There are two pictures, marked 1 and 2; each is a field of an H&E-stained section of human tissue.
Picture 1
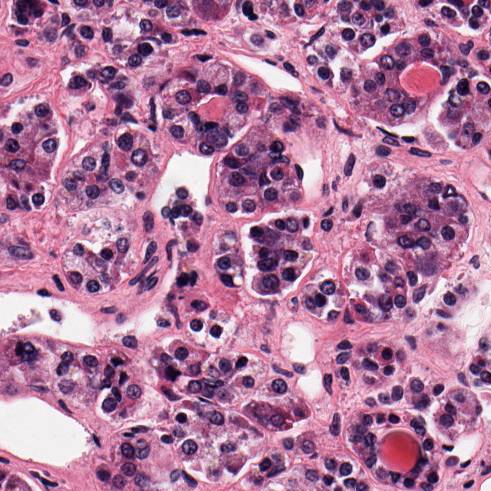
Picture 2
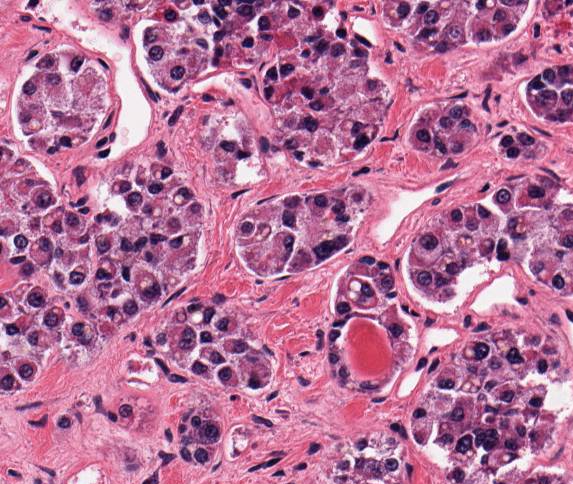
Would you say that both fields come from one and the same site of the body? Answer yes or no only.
yes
